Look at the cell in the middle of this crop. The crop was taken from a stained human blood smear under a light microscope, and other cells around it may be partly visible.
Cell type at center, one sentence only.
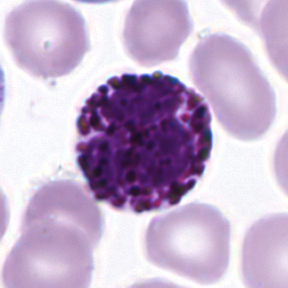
Of the cells in this crop, the central one is a basophil.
